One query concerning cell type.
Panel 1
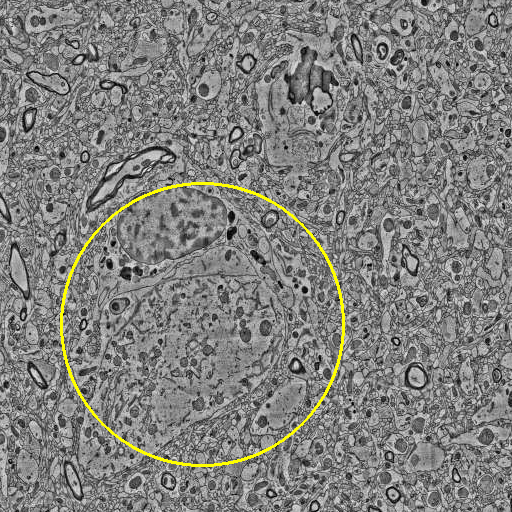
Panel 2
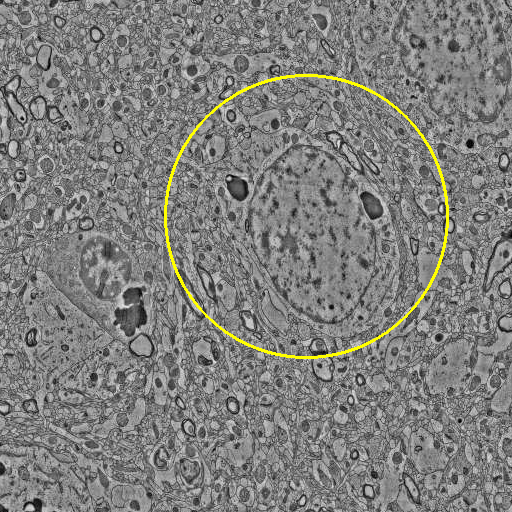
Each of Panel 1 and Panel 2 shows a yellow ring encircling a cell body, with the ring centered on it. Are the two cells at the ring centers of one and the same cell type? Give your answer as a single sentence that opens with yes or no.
No, the cell centered in Panel 1 and the one in Panel 2 are of two types.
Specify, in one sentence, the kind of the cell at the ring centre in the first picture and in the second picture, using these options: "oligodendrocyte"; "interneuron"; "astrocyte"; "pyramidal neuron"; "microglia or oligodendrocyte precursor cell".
So the first is a pyramidal neuron, the second an interneuron.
